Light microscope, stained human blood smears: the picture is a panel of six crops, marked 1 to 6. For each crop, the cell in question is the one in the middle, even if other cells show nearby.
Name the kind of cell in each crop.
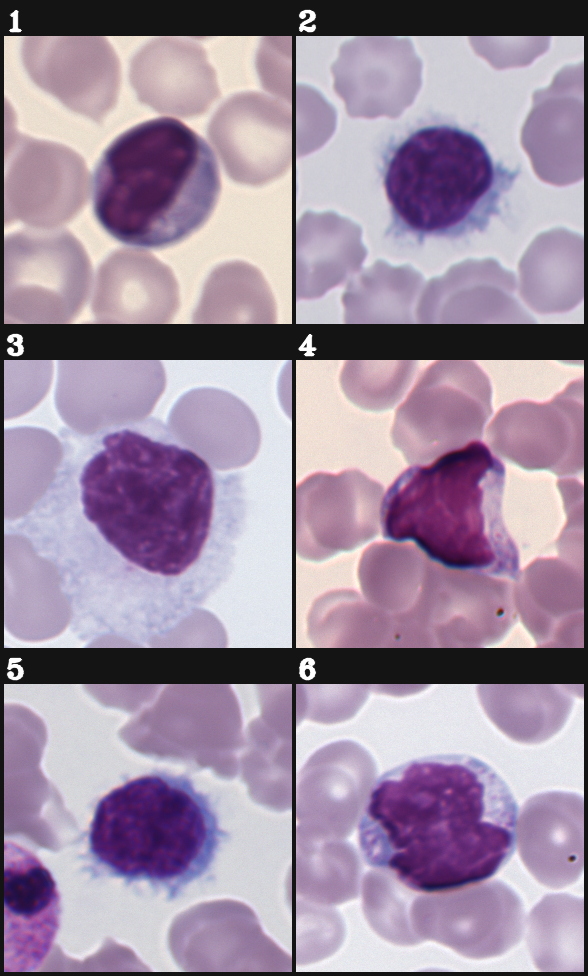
1: typical lymphocyte
2: hairy cell
3: hairy cell
4: typical lymphocyte
5: hairy cell
6: large granular lymphocyte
